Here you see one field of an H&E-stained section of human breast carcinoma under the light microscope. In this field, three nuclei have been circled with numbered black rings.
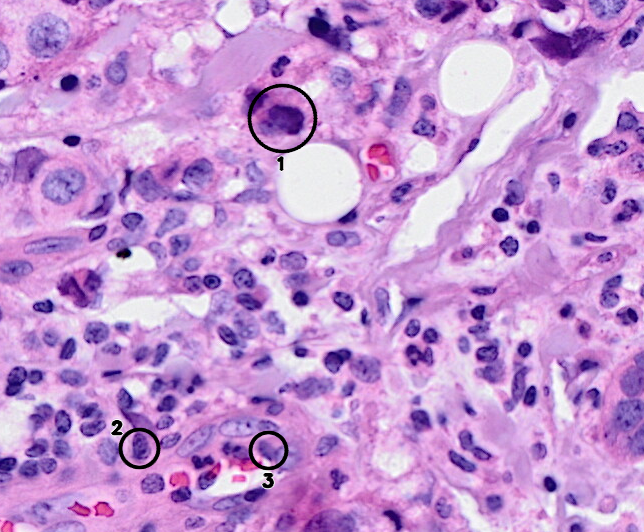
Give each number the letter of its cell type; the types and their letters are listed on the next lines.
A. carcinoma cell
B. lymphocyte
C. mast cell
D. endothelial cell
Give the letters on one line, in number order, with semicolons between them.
A; B; D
